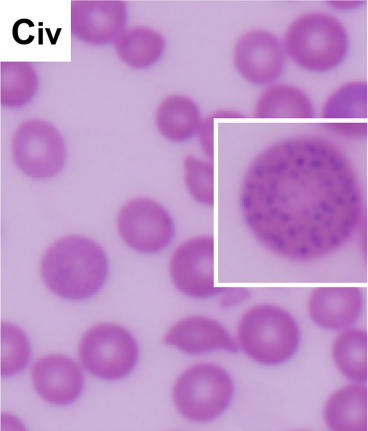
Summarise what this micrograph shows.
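This is a peripheral blood smear made up of pink red cells that differ clearly in size from one another. Many red cells show a pale centre, while some are smaller and others larger and more evenly stained. A few cells are irregular or elongated rather than round. The enlarged inset shows a single round red cell whose pink cytoplasm is sprinkled throughout with fine, dark purple dots.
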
